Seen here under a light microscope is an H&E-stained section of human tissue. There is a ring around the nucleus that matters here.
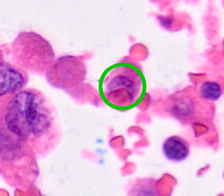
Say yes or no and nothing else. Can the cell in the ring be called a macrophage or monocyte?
yes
